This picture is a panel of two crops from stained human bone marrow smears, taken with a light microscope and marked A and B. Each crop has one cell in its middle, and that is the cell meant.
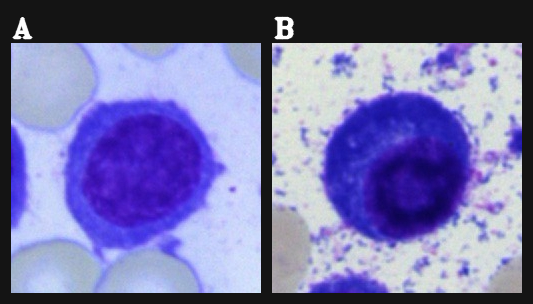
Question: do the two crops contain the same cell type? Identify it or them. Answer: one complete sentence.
Yes, the two crops show plasma cells, both of them.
